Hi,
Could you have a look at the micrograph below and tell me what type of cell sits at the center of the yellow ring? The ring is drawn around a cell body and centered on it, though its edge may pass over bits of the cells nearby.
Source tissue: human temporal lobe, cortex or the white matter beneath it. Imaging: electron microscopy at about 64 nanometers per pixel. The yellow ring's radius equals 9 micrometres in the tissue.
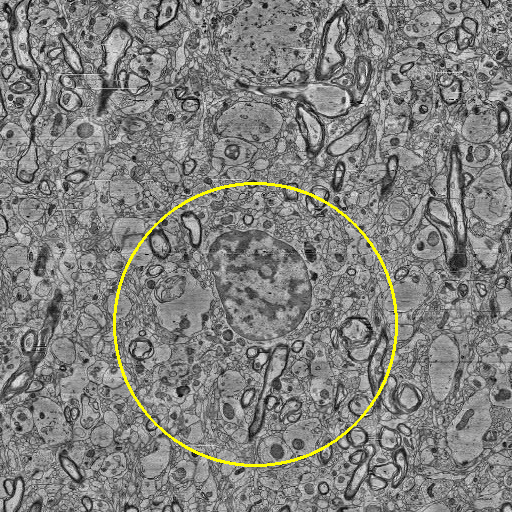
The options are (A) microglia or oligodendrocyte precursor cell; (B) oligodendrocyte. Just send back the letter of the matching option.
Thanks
A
